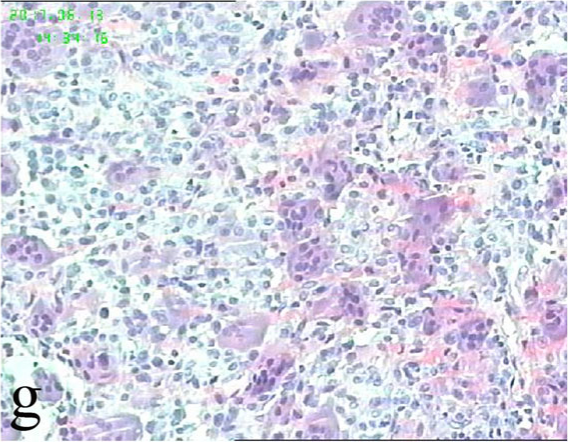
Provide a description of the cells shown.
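This is a section of a giant cell tumor in which large multinucleated giant cells are scattered evenly among a dense sheet of small mononuclear cells. The giant cells are much larger than their neighbours, with abundant pink to purplish cytoplasm and many clustered dark nuclei each. The mononuclear cells between them have round to oval nuclei, stained blue-purple, and scant pale cytoplasm. Thin strands of pink stroma run among the cells, with no clear organized architecture.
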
